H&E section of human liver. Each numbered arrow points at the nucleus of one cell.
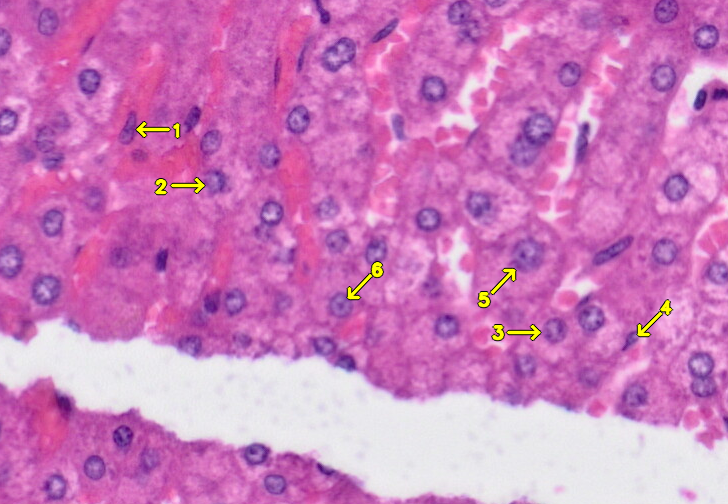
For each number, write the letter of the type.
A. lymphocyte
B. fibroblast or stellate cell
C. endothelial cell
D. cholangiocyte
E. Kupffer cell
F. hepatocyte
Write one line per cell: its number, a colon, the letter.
1: E
2: F
3: F
4: C
5: F
6: F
